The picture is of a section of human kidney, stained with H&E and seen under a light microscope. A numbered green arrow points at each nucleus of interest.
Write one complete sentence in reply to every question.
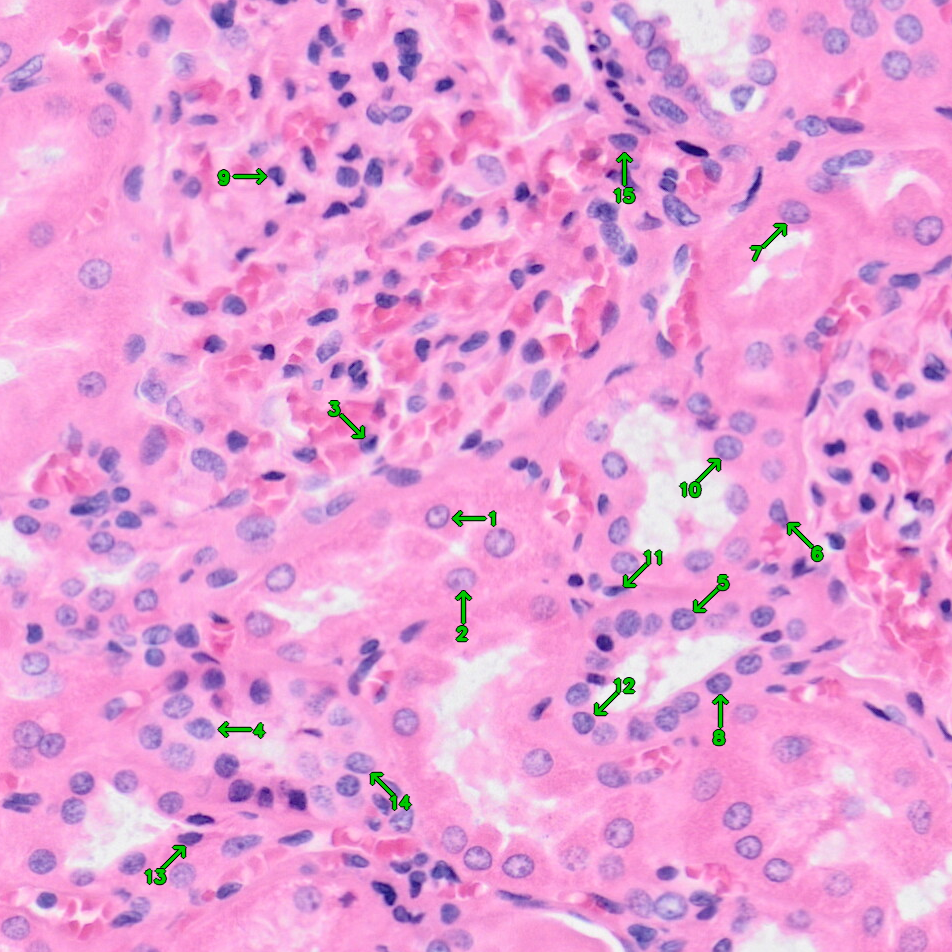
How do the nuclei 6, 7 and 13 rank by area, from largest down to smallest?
Largest first, the order by area is 7, 6, 13.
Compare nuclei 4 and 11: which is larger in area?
Of the two, number 4 is bigger and takes up about 2 times the area of number 11.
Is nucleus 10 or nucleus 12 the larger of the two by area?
Of the two, number 10 is bigger and takes up about 1.5 times the area of number 12.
